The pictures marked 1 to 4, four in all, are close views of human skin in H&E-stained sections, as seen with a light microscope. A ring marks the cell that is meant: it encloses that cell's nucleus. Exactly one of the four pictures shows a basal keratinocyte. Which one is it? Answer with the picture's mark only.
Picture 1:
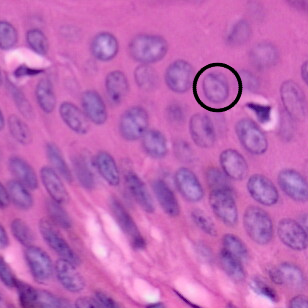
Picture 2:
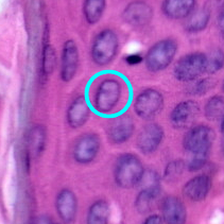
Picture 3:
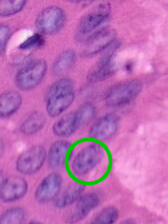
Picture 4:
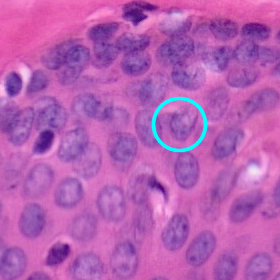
3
